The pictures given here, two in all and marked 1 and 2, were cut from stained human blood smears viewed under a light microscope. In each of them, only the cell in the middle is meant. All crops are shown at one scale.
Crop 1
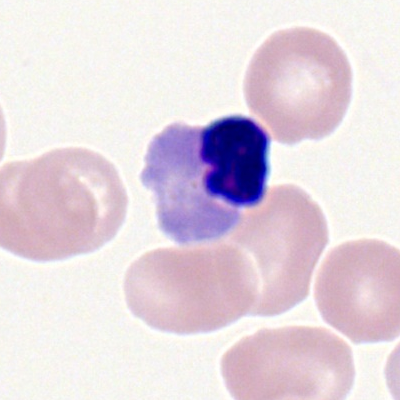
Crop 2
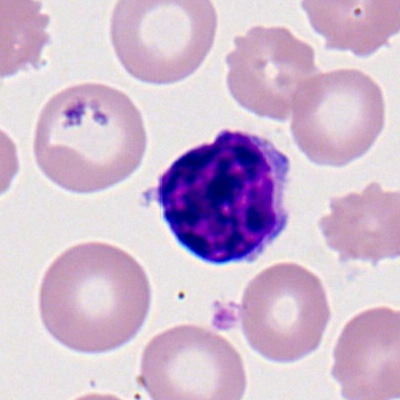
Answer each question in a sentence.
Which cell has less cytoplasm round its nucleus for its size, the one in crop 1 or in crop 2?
The nucleus fills more of the cell in crop 2 than in crop 1.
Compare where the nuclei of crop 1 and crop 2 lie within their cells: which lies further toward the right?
In crop 1 the nucleus is shifted more toward the right.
